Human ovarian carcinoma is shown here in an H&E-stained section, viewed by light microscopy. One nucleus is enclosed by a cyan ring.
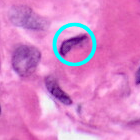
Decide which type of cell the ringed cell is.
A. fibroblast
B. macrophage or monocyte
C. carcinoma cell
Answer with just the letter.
A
